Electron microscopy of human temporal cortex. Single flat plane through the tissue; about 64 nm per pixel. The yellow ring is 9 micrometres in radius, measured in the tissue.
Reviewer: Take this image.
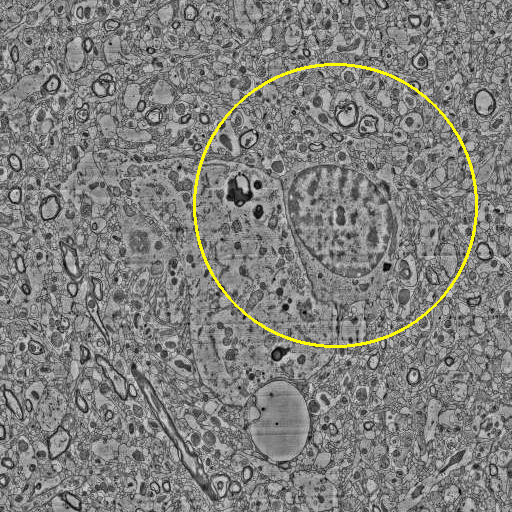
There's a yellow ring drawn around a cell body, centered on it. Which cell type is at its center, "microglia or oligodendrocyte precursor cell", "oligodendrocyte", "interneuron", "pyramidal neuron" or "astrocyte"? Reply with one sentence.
At the center of the yellow ring is an oligodendrocyte.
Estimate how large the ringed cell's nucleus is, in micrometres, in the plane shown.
The nucleus is approximately 8 micrometers long by 6 micrometers wide in this plane.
